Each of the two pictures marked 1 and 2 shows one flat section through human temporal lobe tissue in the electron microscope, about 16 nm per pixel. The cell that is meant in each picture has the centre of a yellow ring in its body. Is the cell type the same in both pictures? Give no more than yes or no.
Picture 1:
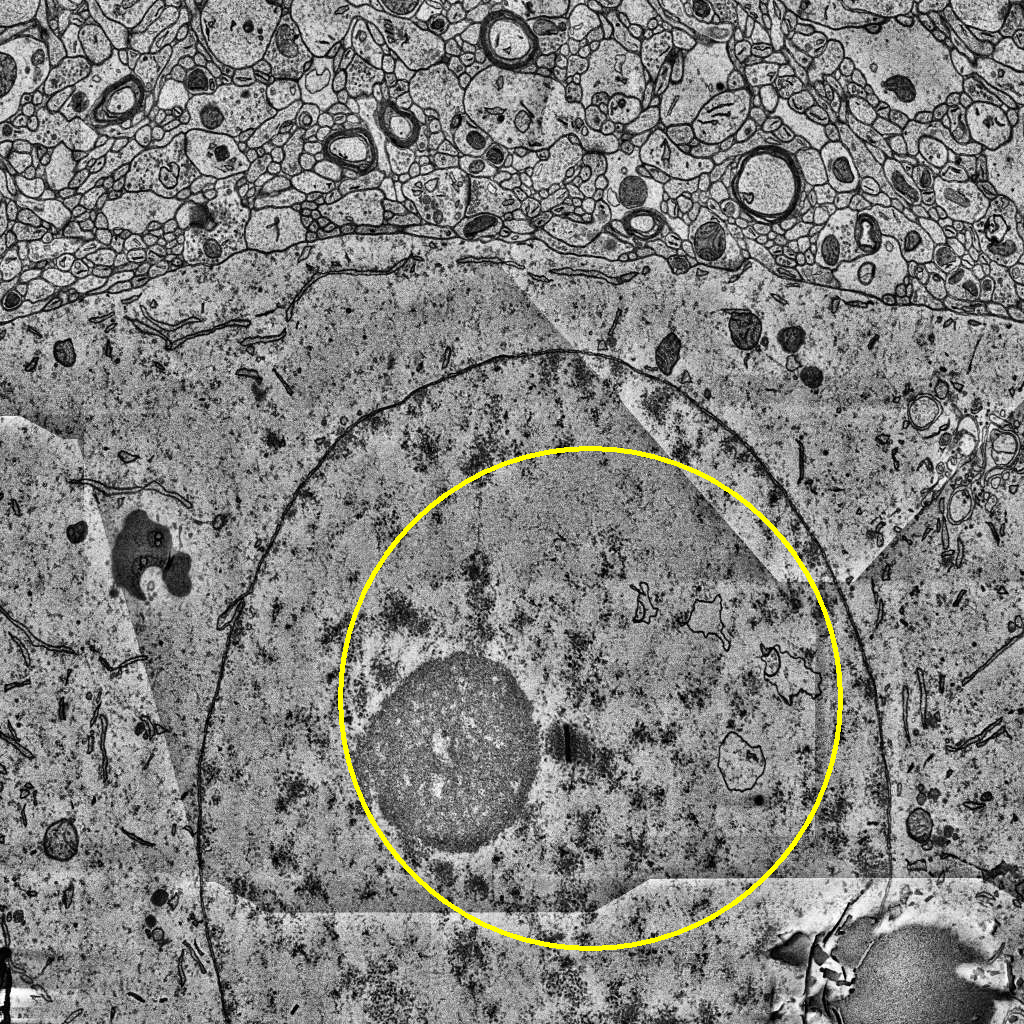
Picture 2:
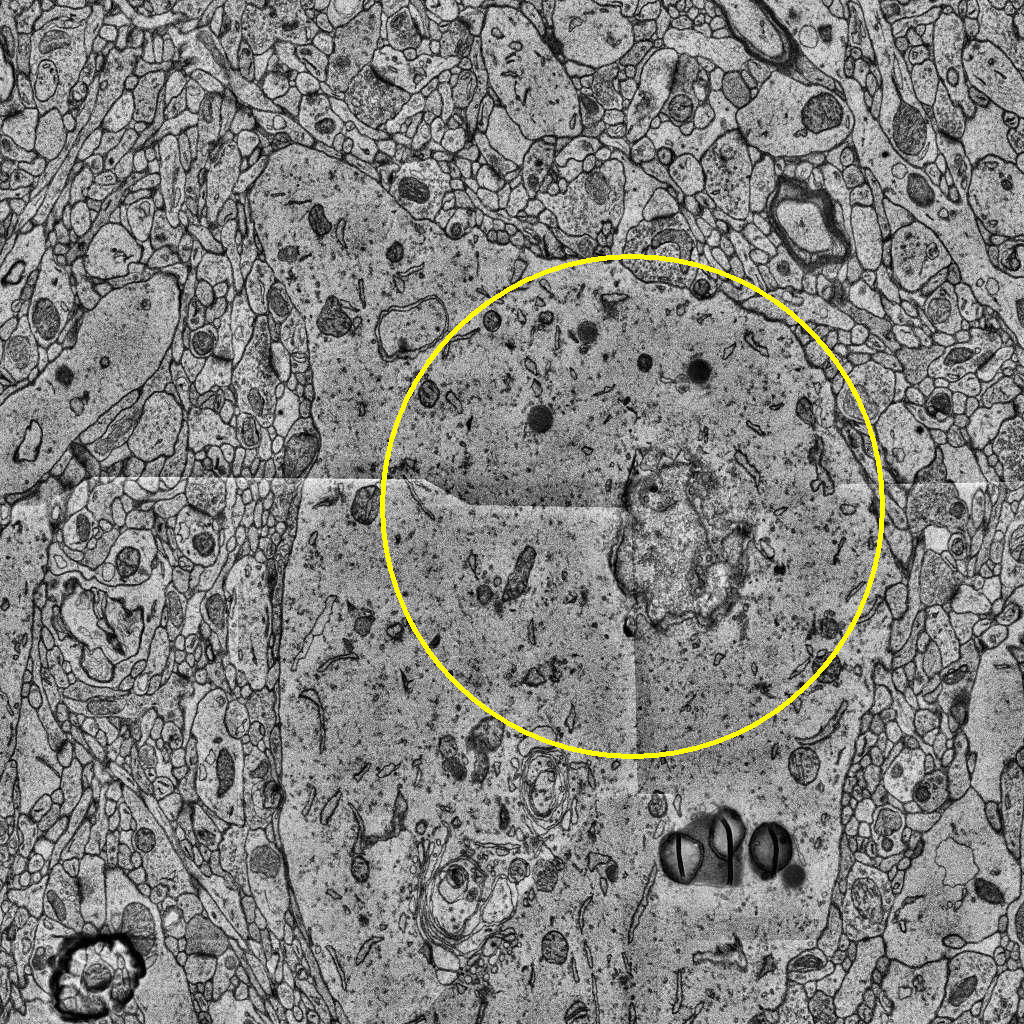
yes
